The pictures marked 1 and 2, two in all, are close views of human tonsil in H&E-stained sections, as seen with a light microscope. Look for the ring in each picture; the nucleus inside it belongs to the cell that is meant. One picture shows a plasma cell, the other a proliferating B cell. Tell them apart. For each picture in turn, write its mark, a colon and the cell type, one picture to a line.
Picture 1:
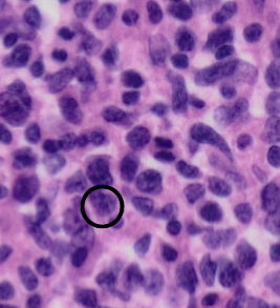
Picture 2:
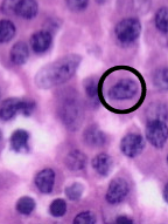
1: proliferating B cell
2: plasma cell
